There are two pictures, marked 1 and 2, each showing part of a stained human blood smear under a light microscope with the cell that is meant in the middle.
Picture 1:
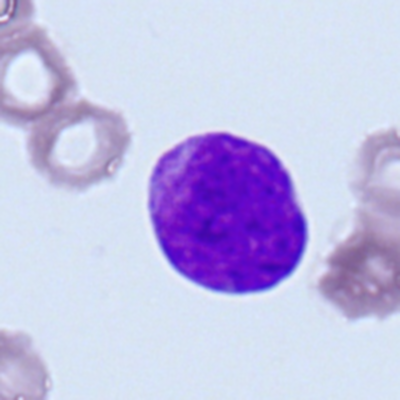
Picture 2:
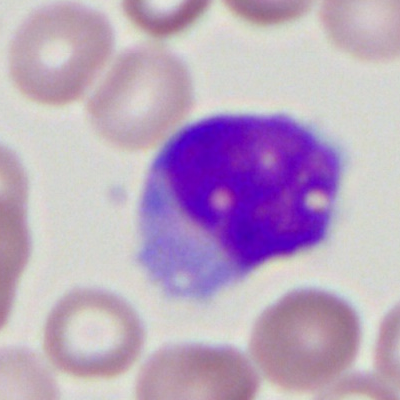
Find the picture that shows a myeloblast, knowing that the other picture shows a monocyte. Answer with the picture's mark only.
1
